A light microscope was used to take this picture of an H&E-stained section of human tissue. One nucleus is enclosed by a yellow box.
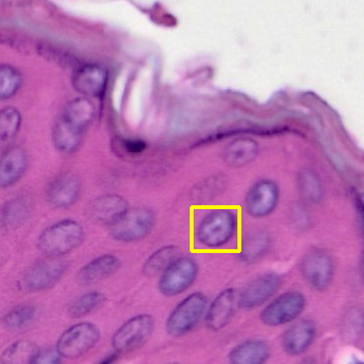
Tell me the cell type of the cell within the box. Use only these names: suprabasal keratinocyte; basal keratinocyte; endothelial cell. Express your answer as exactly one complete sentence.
On this particular slide, the cell within the box is a suprabasal keratinocyte.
